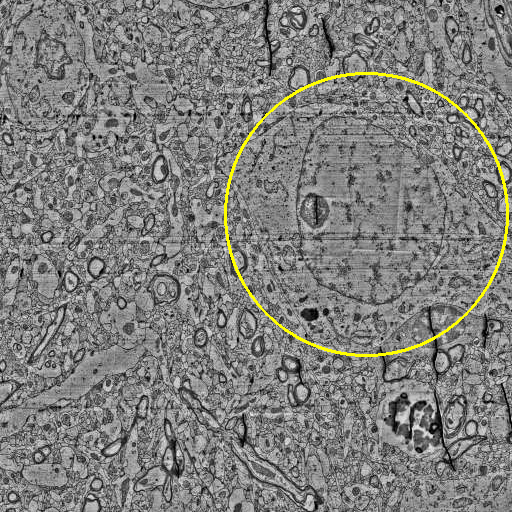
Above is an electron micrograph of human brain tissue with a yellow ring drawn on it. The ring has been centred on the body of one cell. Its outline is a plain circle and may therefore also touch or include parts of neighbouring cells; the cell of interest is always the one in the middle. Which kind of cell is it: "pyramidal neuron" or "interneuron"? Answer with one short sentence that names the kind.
The ring's central cell body is that of a pyramidal neuron.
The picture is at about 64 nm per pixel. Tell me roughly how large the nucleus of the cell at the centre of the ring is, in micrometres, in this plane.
In this plane the nucleus is about 12 micrometres by 10.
